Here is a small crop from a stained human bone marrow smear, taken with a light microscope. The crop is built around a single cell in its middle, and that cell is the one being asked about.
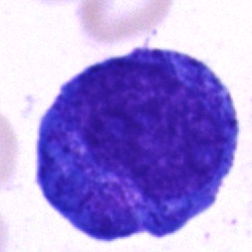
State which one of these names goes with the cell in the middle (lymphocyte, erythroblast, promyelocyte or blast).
promyelocyte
